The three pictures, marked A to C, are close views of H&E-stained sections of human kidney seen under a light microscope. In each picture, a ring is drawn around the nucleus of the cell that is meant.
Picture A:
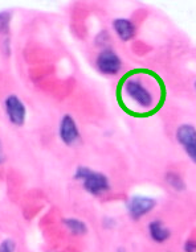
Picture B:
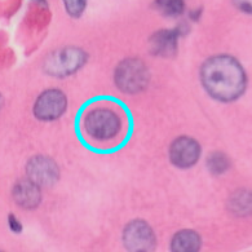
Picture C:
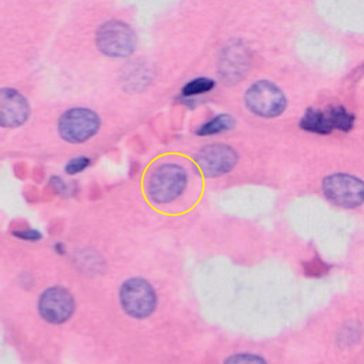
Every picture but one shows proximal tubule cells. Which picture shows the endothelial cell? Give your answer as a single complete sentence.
It is picture A that shows the endothelial cell.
